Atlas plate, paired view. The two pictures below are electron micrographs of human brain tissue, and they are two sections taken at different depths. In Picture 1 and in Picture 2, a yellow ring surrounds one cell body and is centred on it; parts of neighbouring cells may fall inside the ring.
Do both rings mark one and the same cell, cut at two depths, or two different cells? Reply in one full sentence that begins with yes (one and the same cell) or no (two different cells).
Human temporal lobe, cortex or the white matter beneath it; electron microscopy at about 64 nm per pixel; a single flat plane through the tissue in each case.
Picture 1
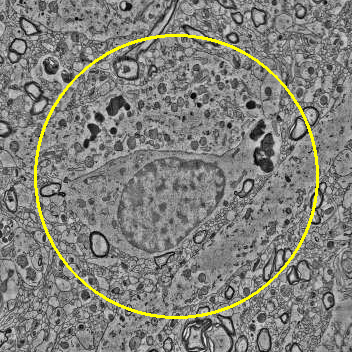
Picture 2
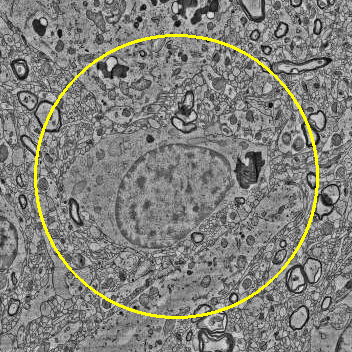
Yes, a single cell lies behind both yellow marks.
